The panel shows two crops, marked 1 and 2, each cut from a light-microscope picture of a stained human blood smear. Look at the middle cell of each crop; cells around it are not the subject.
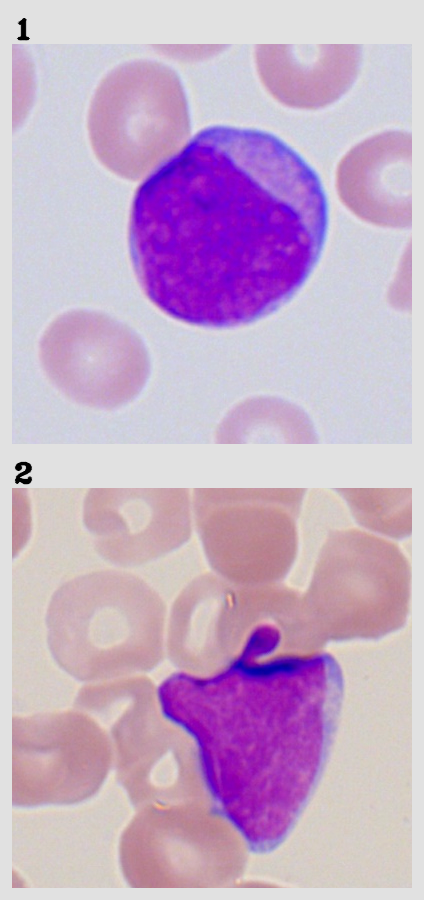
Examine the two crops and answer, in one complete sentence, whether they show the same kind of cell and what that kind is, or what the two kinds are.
Yes, myeloblasts are at the centre in both crops.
